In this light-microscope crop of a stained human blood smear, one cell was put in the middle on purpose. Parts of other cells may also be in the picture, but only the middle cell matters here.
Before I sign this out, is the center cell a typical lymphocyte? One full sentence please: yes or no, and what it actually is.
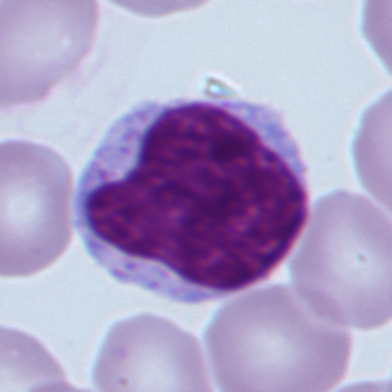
Yes, the middle cell is classified as a typical lymphocyte.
